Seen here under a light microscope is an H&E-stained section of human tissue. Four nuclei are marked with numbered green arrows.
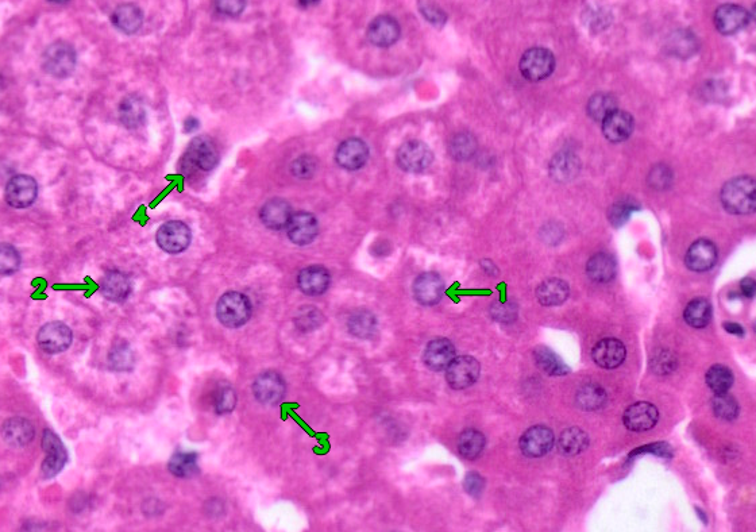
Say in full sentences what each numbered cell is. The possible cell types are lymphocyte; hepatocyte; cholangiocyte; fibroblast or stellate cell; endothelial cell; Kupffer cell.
Cells 1, 2 and 3 are hepatocytes. Cell 4 is a Kupffer cell.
